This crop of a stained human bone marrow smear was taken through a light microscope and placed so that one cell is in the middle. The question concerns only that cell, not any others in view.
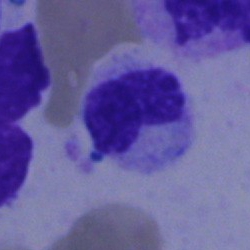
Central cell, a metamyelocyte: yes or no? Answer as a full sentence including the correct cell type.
No, the cell at the centre is categorised not as a metamyelocyte but as a band neutrophil.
